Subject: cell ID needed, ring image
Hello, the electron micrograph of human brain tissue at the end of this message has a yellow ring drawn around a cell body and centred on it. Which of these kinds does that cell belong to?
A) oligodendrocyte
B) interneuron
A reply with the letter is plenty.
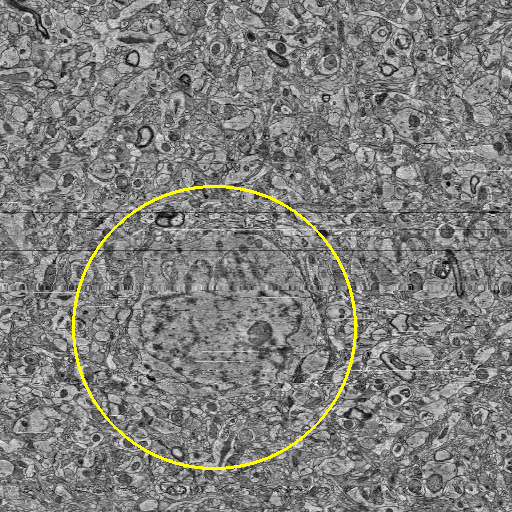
B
